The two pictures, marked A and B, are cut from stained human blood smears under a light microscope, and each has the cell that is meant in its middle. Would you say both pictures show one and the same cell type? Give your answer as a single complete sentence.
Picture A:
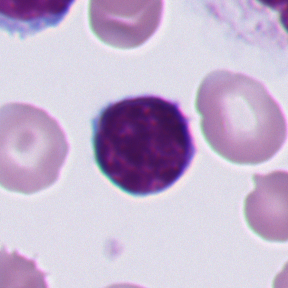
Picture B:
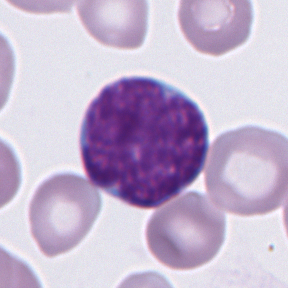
No, picture A shows a typical lymphocyte and picture B shows a myeloblast.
